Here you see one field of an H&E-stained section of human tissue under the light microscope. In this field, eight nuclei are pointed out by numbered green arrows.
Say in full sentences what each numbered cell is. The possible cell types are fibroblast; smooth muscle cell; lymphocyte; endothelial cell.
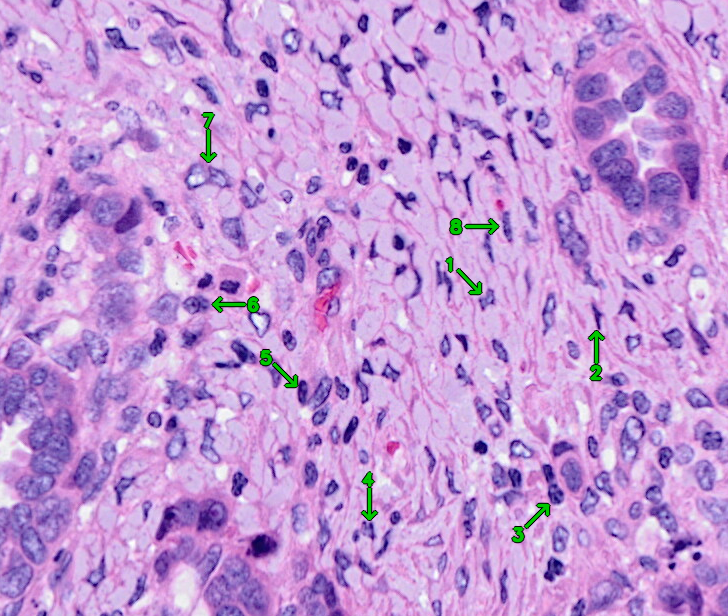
Cell 1 is a fibroblast, cell 2 is a fibroblast, cell 3 is a lymphocyte, cell 4 is a fibroblast, cell 5 is a lymphocyte, cell 6 is a lymphocyte, cell 7 is a fibroblast and cell 8 is a fibroblast.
